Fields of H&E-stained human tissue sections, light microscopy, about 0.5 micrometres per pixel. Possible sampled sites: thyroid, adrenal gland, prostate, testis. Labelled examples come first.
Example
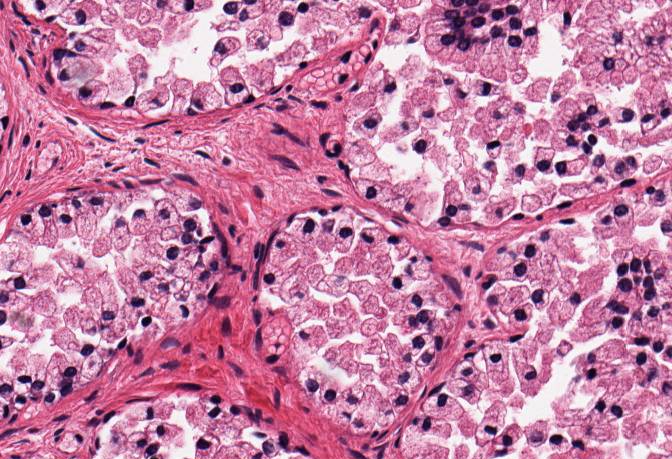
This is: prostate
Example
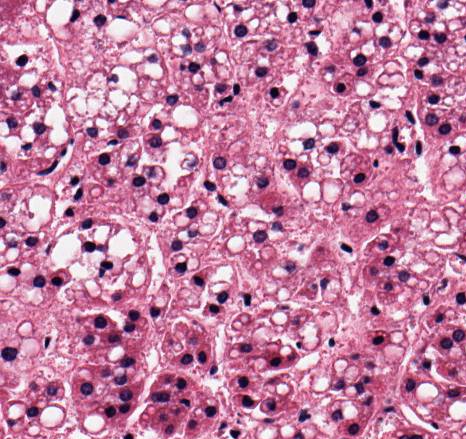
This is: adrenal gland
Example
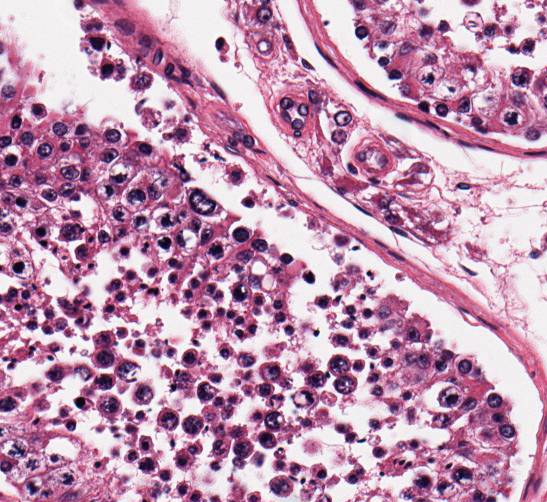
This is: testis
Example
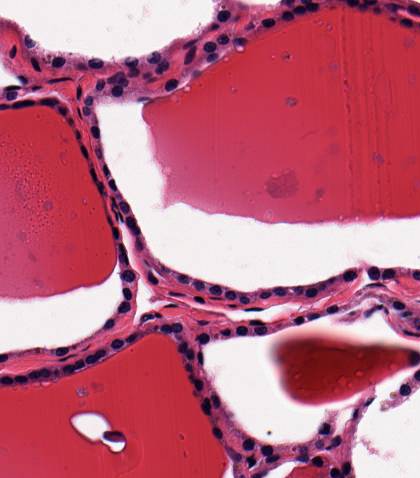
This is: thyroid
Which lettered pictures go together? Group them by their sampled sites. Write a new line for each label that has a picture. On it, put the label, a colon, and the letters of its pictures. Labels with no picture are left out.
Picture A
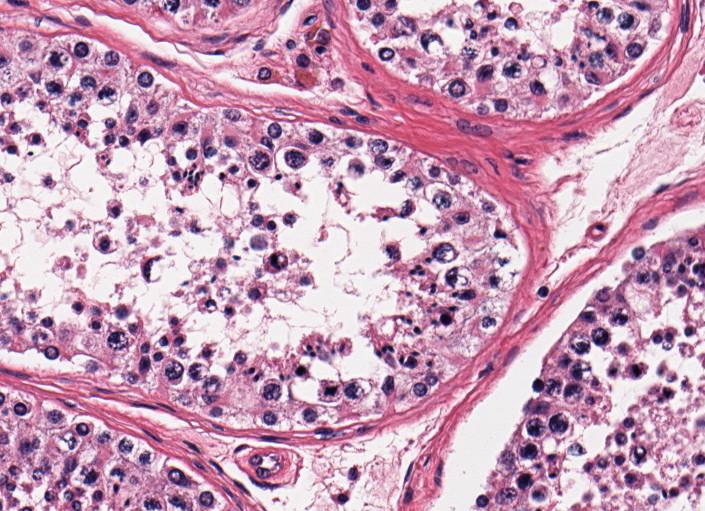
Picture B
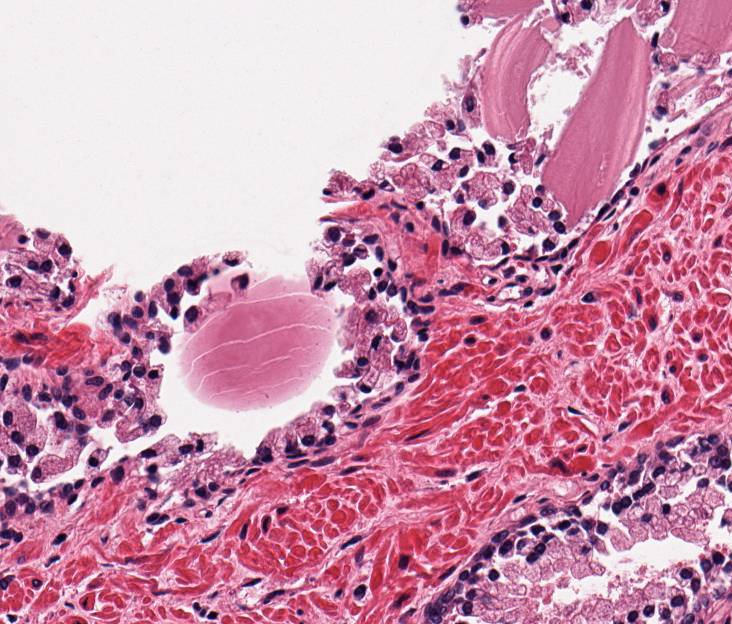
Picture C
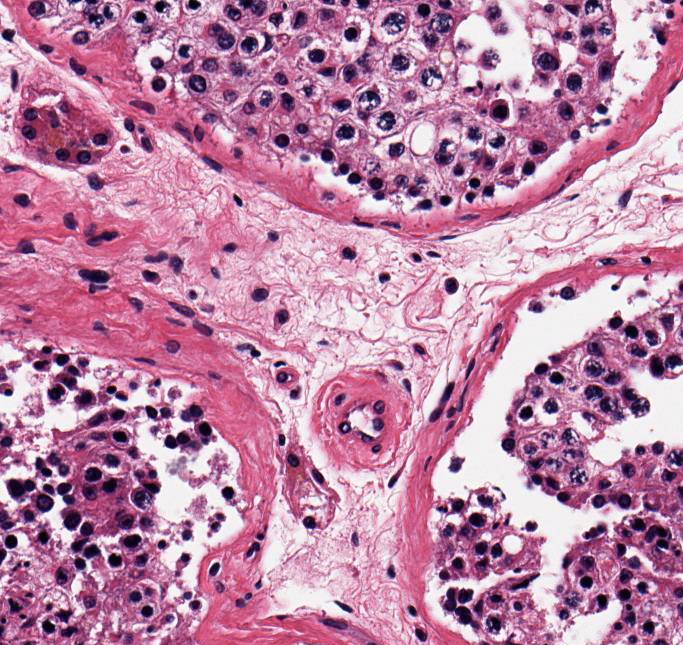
prostate: B
testis: A, C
